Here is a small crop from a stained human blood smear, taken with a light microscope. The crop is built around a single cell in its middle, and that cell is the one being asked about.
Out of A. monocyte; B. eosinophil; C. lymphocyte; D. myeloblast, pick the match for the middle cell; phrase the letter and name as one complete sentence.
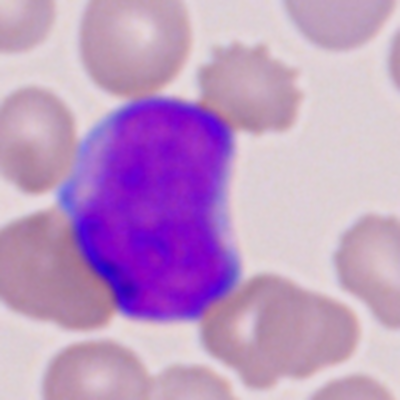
The cell in the center of this crop is a myeloblast, so option D is the one to pick.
